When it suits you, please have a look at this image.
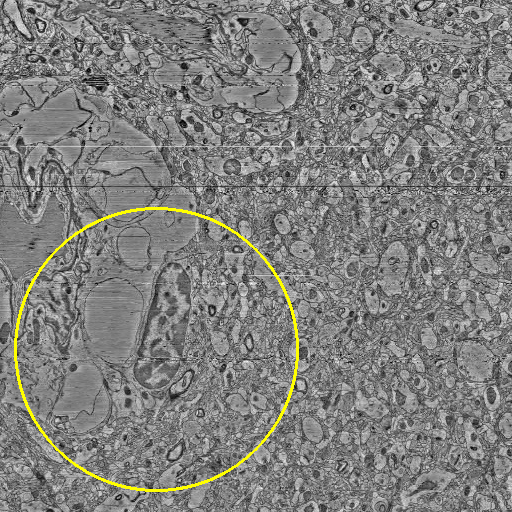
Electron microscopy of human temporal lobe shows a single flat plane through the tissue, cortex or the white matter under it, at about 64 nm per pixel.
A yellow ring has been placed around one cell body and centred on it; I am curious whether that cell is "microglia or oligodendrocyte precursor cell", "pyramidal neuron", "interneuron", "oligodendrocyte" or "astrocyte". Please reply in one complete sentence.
The ringed cell, a microglial cell or oligodendrocyte precursor cell, has its body at the centre of the yellow ring.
